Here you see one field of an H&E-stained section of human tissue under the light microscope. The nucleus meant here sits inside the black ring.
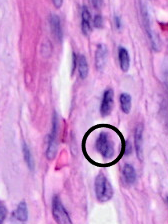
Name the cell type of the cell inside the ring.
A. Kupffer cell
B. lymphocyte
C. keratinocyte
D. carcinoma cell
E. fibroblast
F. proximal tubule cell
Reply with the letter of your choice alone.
B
